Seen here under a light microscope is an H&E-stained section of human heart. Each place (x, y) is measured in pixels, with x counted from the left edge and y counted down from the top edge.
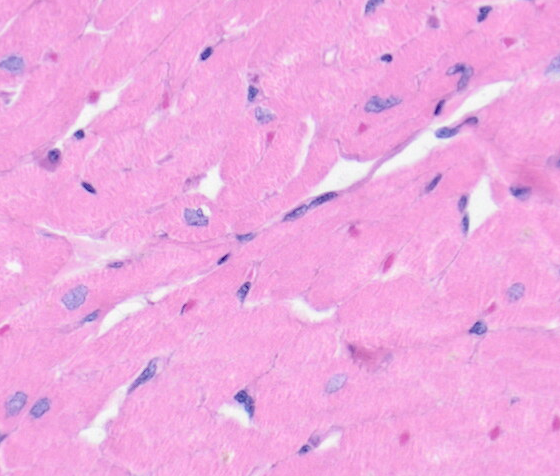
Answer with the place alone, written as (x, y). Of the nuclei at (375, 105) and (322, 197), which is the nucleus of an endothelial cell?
(322, 197)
